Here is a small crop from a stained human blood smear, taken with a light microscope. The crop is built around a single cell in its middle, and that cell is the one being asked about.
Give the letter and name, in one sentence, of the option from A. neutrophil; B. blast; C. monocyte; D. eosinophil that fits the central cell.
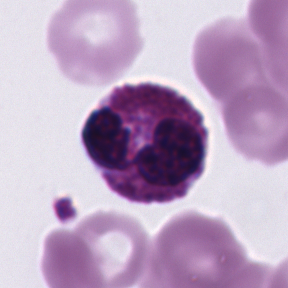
That cell in the center is an eosinophil, hence option D.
